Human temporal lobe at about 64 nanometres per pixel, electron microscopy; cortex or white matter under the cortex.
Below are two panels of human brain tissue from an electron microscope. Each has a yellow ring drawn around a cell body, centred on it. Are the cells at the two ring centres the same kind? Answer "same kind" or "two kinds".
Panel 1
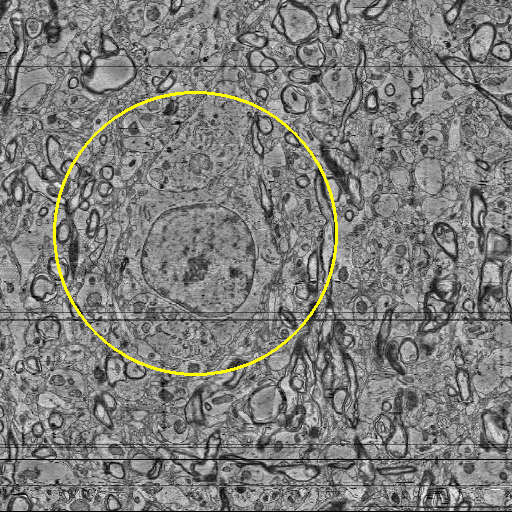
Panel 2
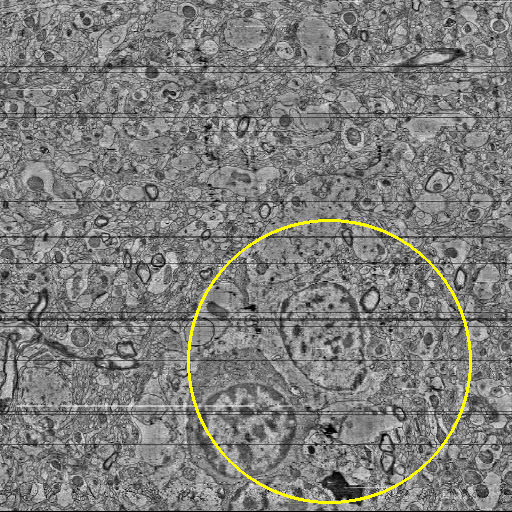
same kind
